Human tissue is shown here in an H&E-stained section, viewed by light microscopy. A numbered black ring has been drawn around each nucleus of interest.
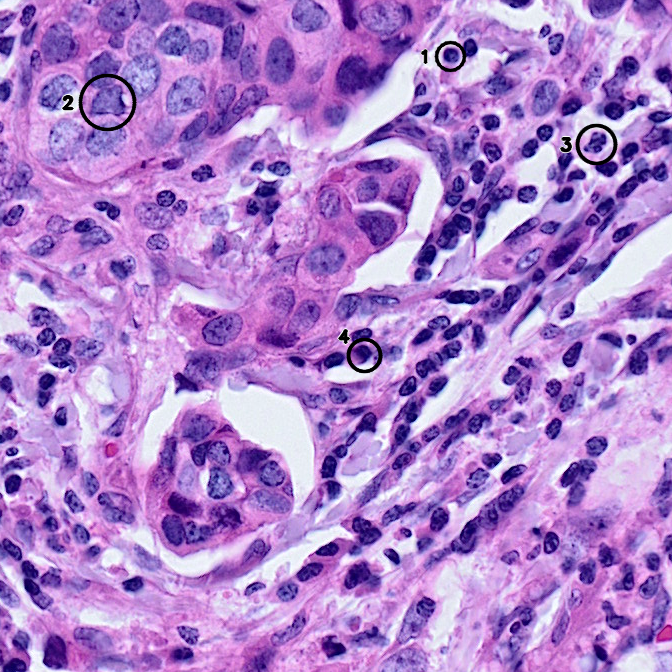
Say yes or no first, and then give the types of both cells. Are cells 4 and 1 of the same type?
Yes, both of the cells numbered 4 and 1 are lymphocytes.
